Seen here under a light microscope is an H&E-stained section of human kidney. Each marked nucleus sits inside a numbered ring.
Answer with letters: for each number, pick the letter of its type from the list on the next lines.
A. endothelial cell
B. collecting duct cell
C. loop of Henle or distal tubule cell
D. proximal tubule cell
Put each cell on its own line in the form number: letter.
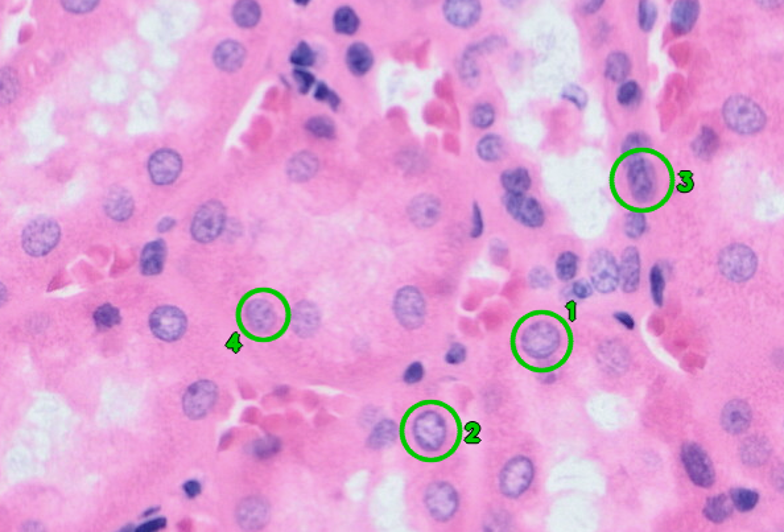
1: D
2: D
3: B
4: D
